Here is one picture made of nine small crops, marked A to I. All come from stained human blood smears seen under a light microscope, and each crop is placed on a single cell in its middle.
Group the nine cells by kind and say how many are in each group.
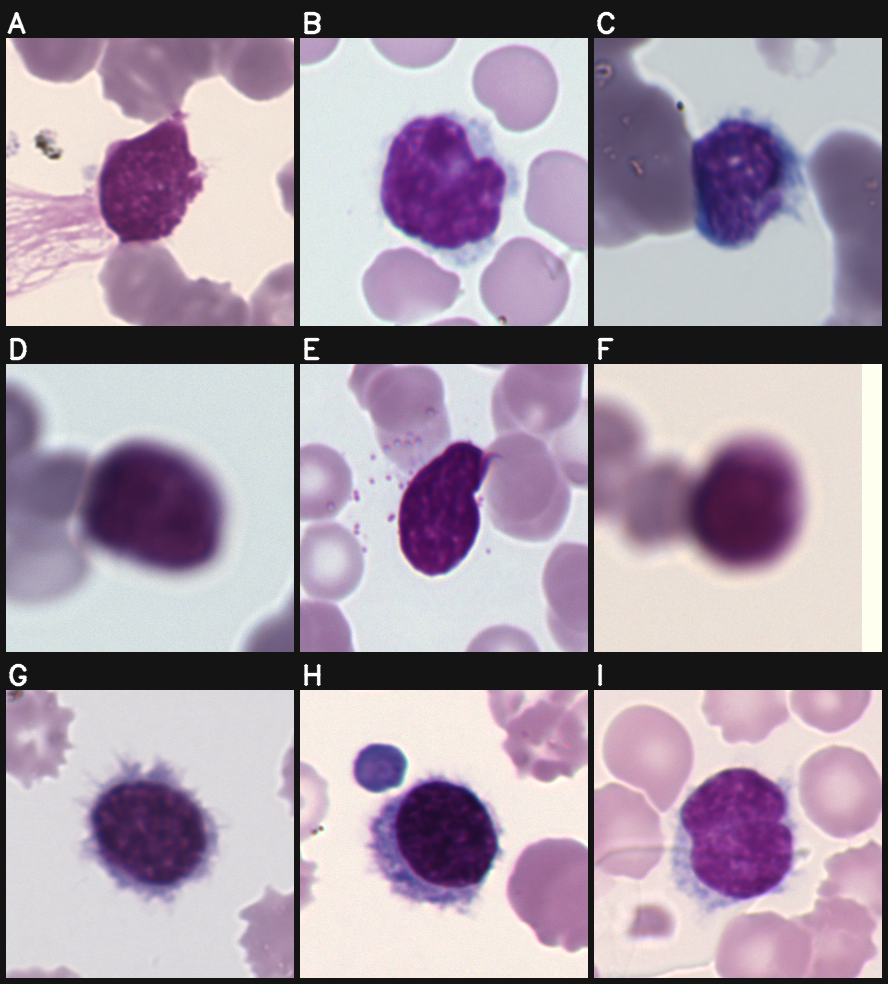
hairy cell: 5
smudge cell: 4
